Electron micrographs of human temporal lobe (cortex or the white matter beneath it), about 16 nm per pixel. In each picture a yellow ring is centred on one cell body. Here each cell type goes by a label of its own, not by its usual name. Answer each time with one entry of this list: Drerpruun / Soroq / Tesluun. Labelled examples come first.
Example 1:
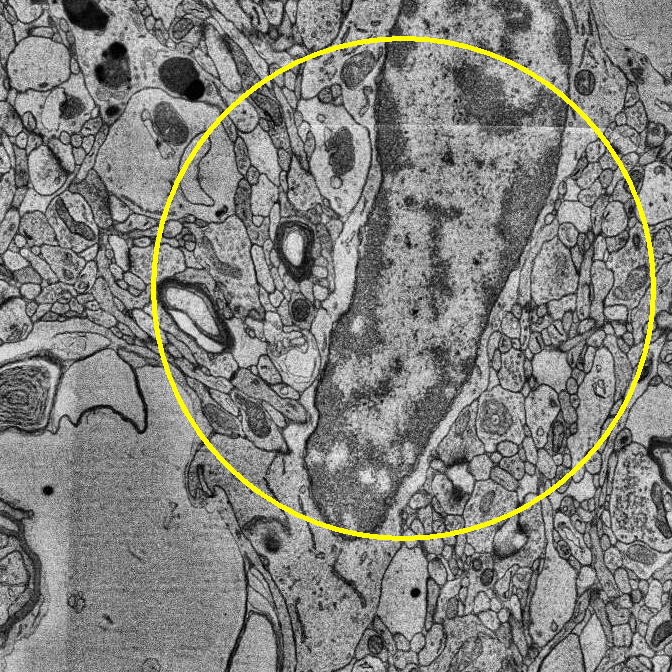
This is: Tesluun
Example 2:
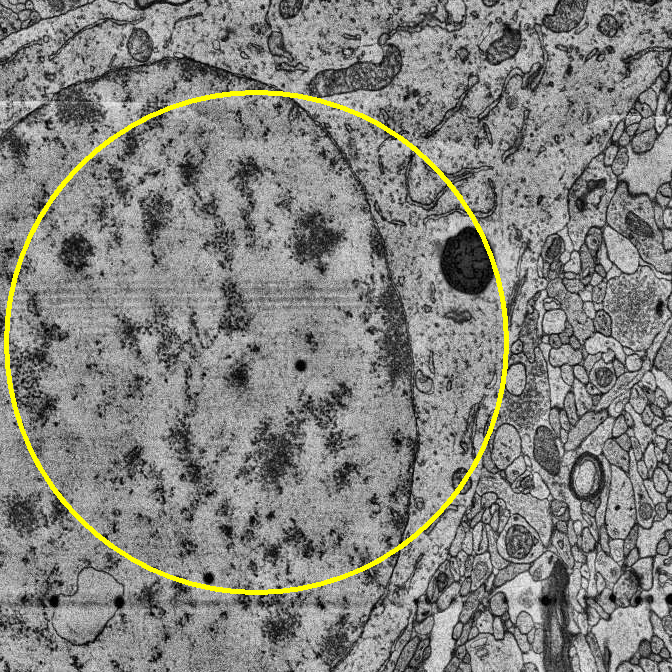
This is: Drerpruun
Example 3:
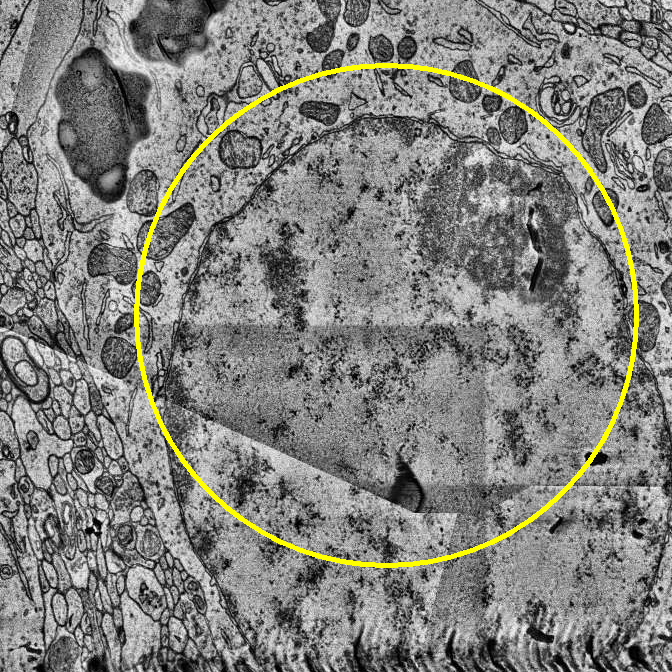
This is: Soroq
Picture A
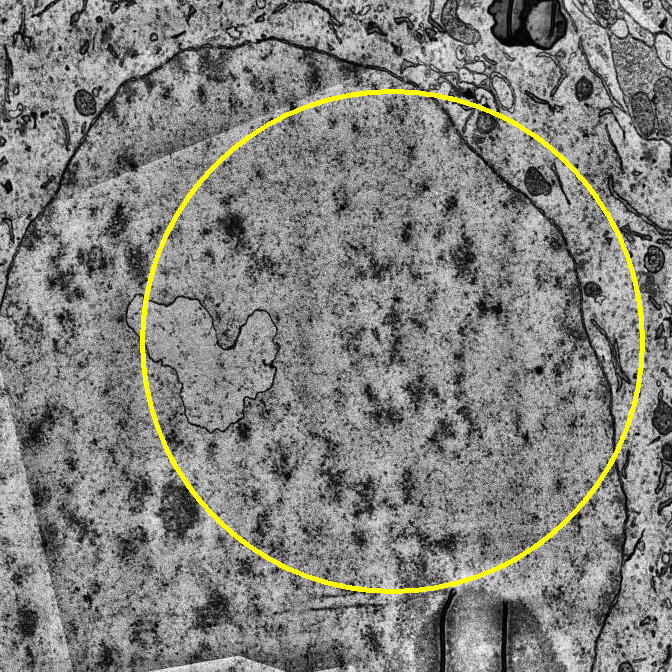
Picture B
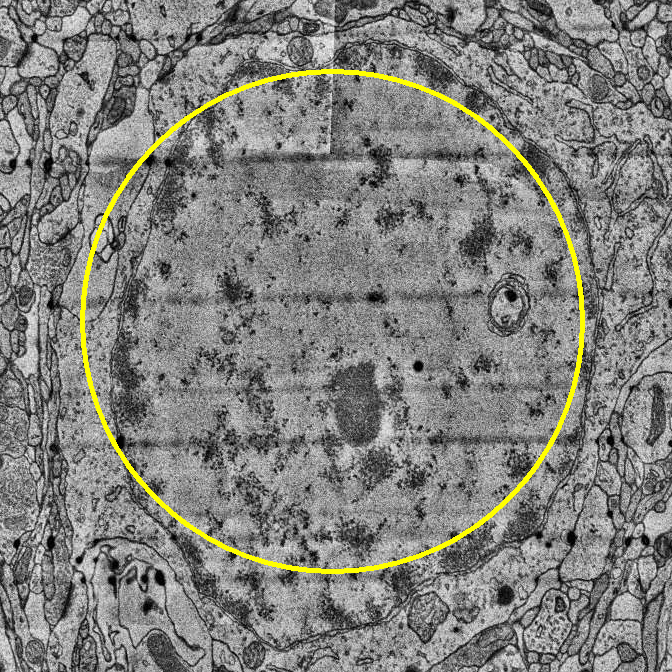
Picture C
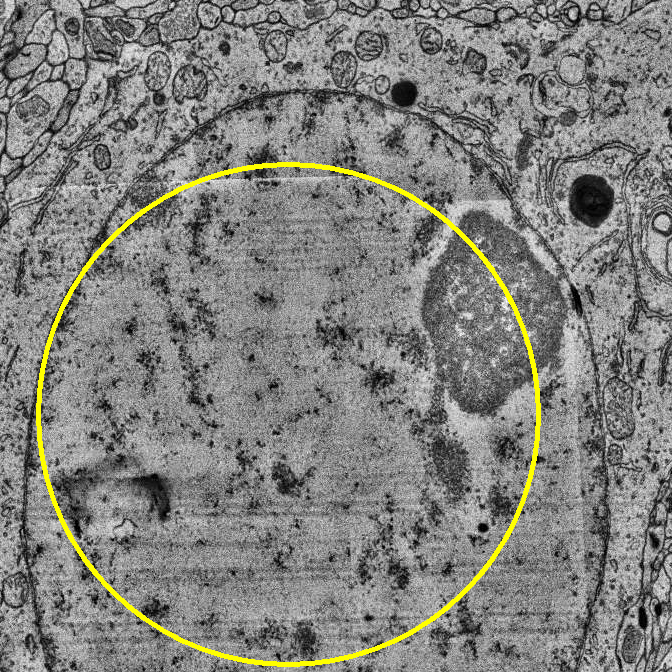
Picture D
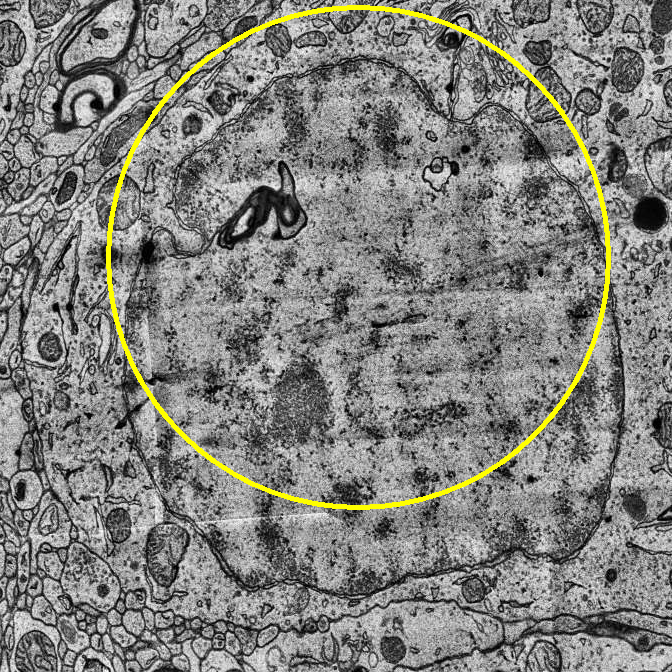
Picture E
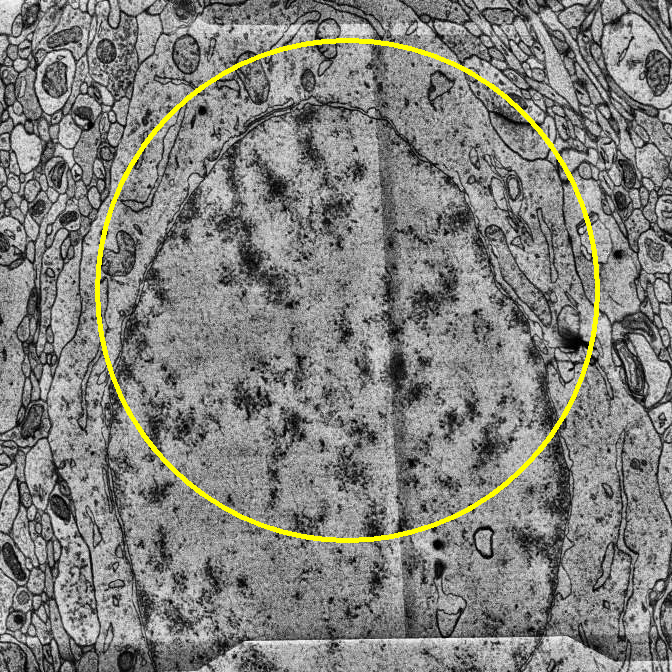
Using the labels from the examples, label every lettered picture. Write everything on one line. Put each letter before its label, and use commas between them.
A Drerpruun, B Soroq, C Drerpruun, D Soroq, E Soroq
